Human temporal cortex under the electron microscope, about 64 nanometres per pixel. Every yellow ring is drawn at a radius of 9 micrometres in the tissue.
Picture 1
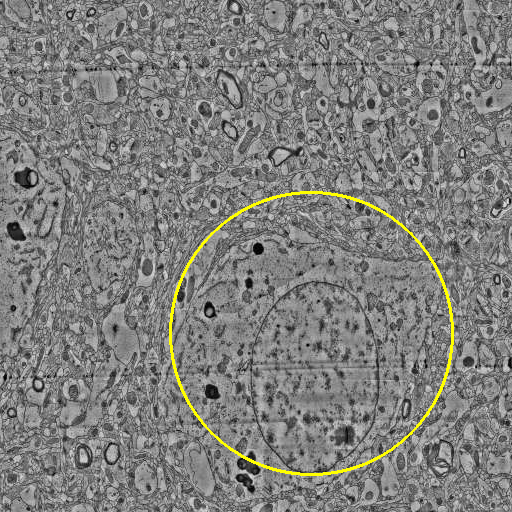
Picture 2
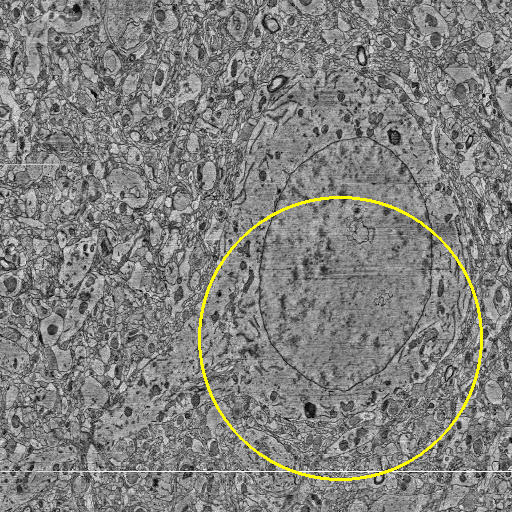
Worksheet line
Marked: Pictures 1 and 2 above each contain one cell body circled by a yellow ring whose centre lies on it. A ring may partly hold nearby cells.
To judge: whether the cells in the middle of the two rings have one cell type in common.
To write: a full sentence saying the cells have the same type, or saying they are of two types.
The cells in the middle of the rings in Picture 1 and Picture 2 have the same type.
